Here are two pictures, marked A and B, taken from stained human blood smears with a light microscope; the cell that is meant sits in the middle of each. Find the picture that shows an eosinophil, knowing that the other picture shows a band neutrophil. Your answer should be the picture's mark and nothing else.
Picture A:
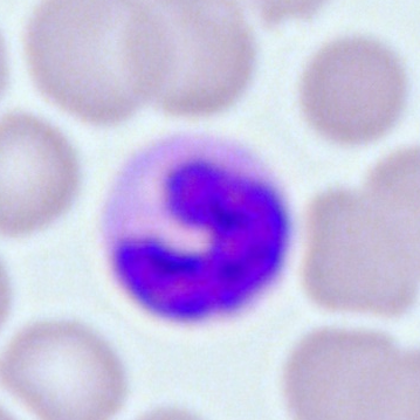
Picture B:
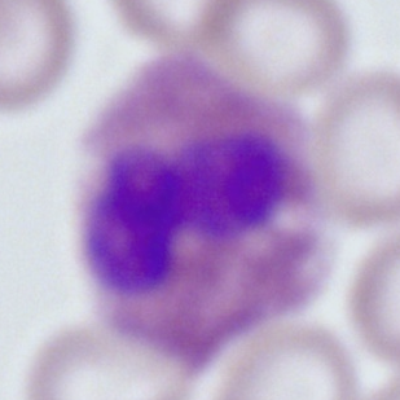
B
